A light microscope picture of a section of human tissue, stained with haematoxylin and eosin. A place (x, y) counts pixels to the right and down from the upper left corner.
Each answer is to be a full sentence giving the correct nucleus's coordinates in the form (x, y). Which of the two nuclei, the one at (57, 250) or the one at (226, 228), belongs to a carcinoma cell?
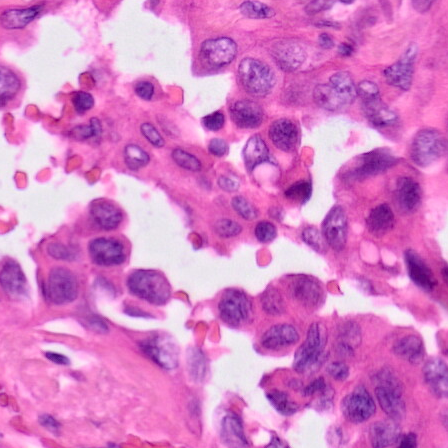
The member of the pair belonging to a carcinoma cell is the nucleus at (57, 250).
